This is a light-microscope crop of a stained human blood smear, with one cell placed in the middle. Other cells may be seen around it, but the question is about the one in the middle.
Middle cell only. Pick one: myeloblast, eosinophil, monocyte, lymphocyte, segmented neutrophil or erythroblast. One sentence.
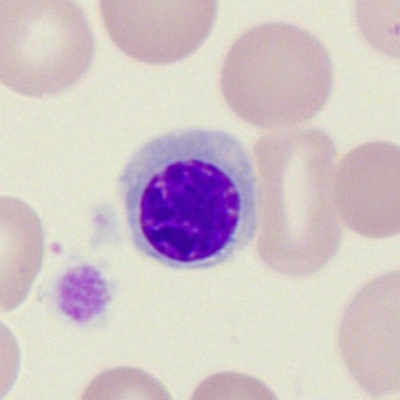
At the center of the crop sits an erythroblast.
